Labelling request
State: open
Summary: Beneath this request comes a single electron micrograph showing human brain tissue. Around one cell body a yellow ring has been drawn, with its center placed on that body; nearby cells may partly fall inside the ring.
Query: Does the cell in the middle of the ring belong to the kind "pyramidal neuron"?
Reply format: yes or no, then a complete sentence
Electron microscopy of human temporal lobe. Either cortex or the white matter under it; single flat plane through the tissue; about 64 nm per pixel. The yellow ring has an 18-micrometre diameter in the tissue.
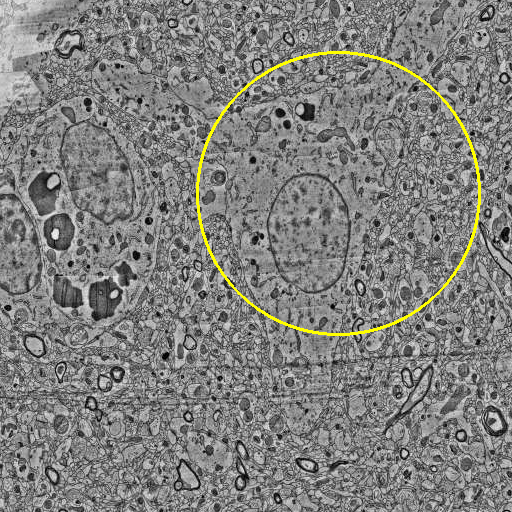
Yes, the cell sitting at the center of the ring in this picture is of that kind.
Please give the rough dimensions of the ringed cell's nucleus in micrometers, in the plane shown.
About 8 by 5 micrometers, in this plane.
